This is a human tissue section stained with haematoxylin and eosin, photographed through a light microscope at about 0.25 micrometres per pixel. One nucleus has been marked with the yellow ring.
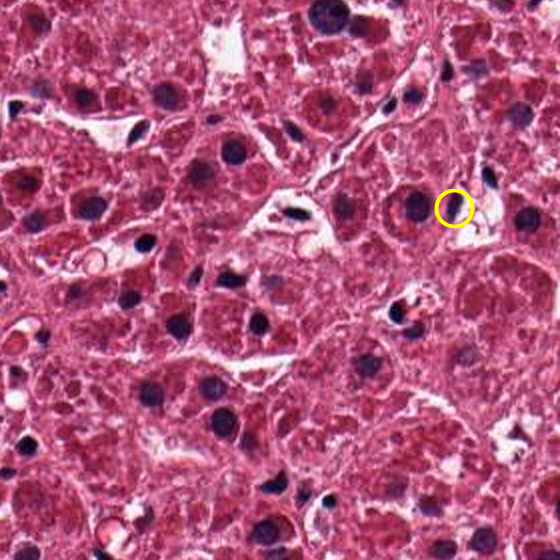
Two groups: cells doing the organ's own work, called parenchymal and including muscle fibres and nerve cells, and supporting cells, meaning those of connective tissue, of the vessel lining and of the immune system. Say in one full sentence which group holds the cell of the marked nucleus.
Here the marked nucleus is the nucleus of a supporting cell.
